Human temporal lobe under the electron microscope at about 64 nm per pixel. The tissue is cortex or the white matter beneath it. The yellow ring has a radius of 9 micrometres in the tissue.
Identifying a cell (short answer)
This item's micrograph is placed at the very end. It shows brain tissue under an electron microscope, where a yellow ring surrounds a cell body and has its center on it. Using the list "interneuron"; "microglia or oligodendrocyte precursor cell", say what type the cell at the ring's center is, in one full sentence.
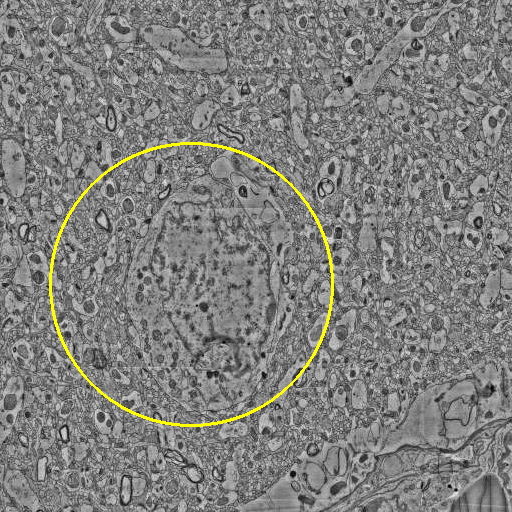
This picture shows an interneuron at the center of the yellow ring drawn on it.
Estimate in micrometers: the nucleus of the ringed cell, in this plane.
About 11 by 8 micrometers, in this plane.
